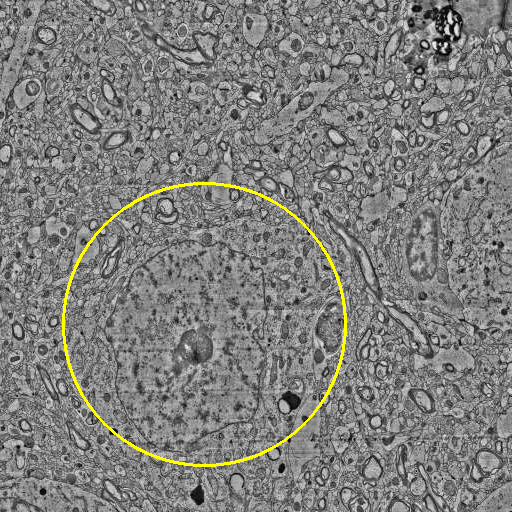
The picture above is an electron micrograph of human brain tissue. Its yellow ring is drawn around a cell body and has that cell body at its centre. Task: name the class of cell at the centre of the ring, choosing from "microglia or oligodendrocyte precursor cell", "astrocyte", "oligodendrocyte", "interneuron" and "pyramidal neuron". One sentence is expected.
The ring surrounds the body of a pyramidal neuron.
